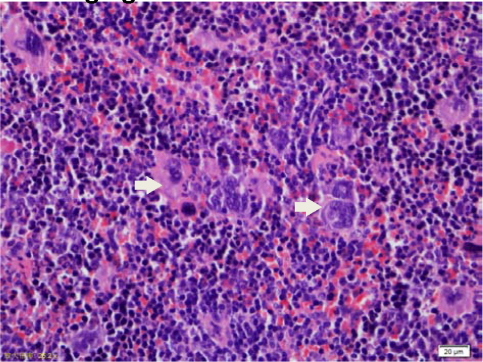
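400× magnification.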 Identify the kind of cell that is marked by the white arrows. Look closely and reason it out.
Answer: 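Megakaryocytes. The arrowed cells are several times larger than the surrounding small round cells. They have abundant pale pink cytoplasm. Their nuclei are large and lobed or multiple-appearing.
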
